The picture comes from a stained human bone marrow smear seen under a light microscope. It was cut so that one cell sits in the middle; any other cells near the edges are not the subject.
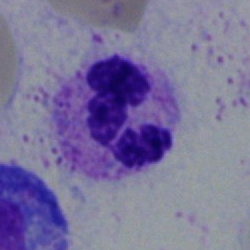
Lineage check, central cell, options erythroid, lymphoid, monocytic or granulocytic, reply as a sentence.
The cell found in the center of the crop is of the granulocytic lineage.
